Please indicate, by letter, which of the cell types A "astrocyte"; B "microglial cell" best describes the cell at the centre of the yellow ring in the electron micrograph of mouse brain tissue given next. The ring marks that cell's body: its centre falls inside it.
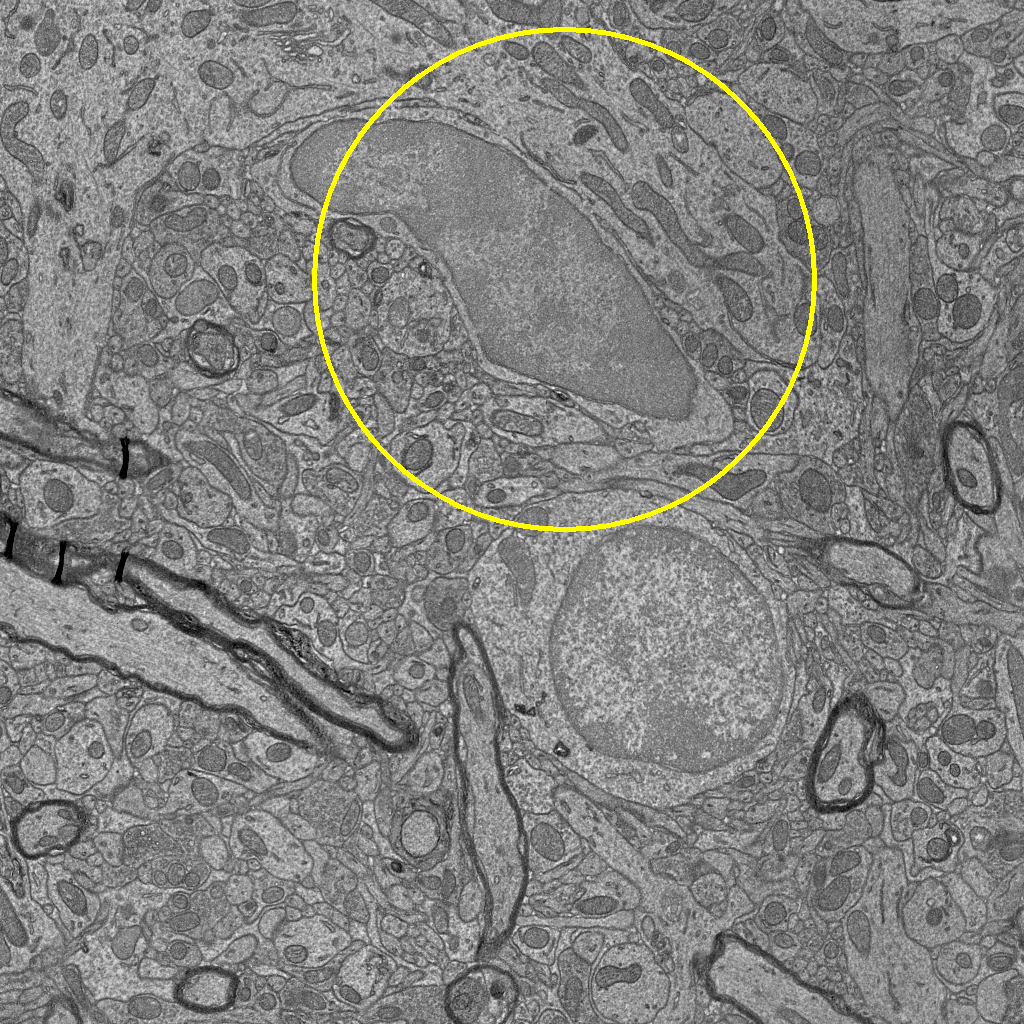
B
